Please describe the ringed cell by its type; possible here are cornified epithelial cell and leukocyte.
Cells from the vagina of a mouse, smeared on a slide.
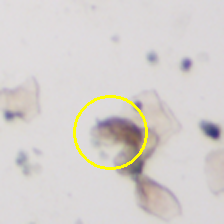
The yellow ring marks a cornified epithelial cell.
